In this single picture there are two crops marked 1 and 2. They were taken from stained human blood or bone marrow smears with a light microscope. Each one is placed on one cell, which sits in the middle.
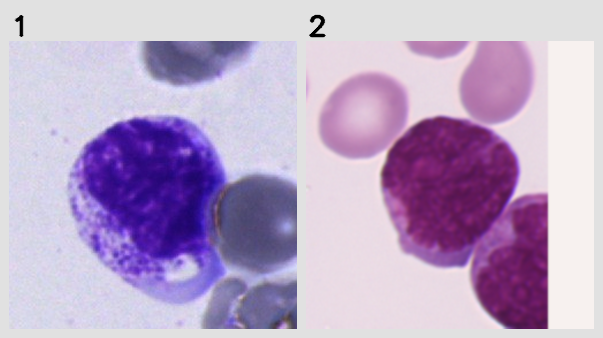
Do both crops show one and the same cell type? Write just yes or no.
no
